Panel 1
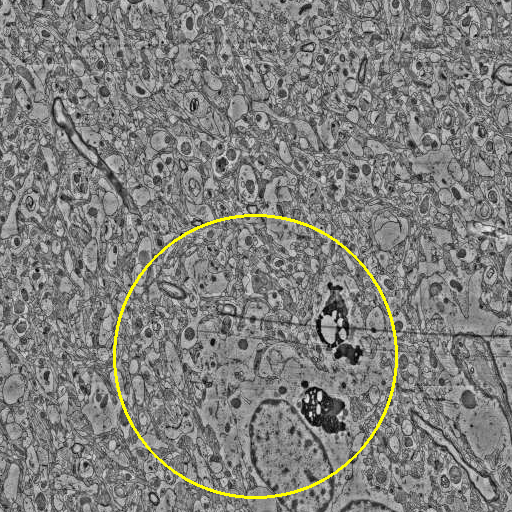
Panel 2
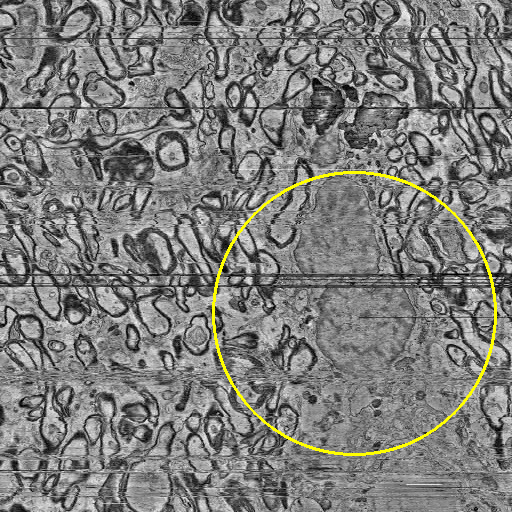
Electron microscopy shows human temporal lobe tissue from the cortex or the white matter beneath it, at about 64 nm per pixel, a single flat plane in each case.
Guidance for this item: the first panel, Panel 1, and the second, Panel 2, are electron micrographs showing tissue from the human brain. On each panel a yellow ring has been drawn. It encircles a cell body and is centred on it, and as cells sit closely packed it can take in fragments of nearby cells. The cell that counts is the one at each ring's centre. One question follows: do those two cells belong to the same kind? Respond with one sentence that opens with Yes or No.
No, the cells at the ring centres in Panel 1 and Panel 2 are of two kinds.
